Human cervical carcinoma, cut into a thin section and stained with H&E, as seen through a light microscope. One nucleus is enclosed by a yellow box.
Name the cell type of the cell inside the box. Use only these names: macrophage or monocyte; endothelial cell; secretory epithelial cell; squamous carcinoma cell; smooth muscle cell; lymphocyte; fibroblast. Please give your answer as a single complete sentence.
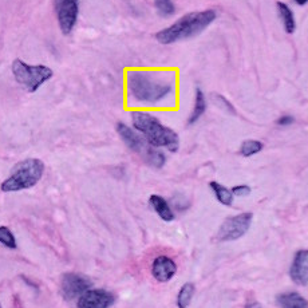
For the purposes of cell typing, the cell inside the box is categorized as a fibroblast.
